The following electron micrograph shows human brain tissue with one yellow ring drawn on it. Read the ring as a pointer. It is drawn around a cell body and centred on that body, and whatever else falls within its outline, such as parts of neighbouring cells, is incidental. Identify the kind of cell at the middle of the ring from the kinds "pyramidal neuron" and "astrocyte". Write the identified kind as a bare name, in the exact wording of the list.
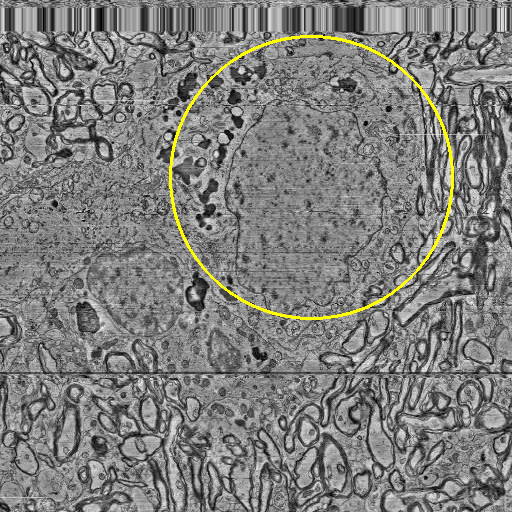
pyramidal neuron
